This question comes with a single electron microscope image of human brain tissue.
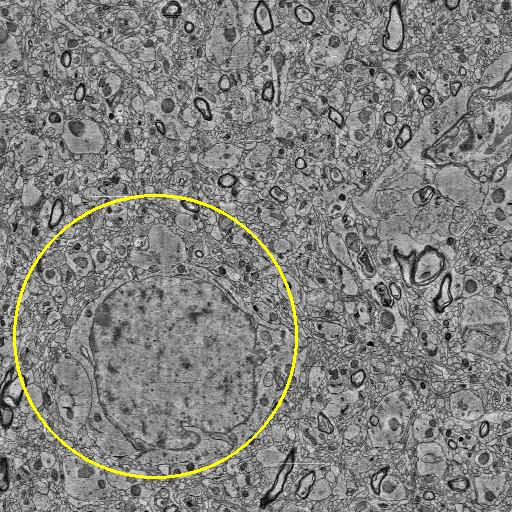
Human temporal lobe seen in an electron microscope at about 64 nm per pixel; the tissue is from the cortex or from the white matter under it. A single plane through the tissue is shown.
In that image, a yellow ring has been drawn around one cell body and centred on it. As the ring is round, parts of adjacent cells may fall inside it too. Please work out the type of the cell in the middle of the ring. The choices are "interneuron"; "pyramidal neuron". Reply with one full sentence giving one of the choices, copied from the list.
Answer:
Of the choices, an interneuron is the cell sitting in the middle of the ring.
